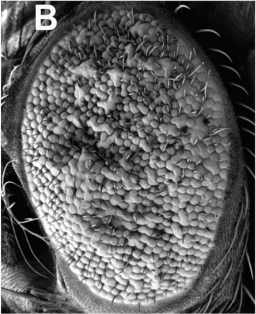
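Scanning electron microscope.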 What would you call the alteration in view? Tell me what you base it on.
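The facets are irregular in size and shape across much of the eye. Many facets appear fused or collapsed, especially in the center. The regular hexagonal lattice is lost.
Hence: rough eye.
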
